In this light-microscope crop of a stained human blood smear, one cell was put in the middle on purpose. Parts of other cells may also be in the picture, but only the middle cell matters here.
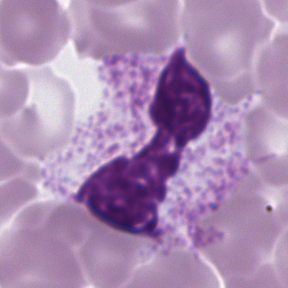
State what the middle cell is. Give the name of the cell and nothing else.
segmented neutrophil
